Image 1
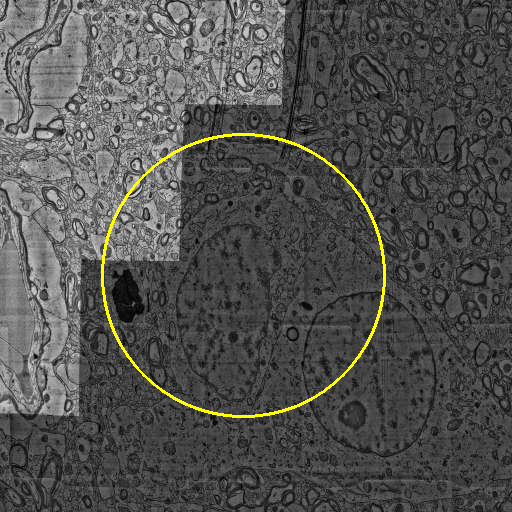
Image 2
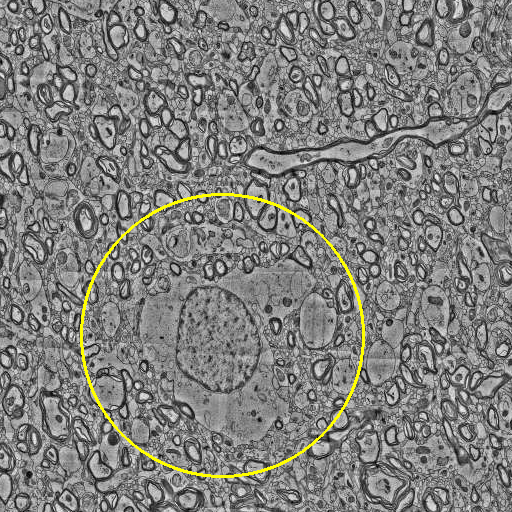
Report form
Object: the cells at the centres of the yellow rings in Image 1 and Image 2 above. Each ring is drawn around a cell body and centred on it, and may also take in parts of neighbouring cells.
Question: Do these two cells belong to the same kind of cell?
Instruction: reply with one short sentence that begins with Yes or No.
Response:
No, they belong to two kinds of cell.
